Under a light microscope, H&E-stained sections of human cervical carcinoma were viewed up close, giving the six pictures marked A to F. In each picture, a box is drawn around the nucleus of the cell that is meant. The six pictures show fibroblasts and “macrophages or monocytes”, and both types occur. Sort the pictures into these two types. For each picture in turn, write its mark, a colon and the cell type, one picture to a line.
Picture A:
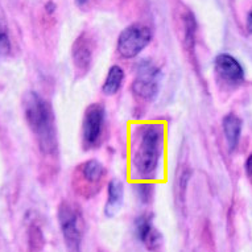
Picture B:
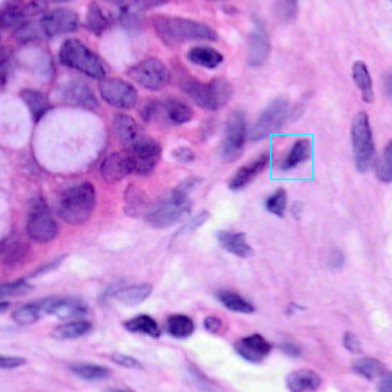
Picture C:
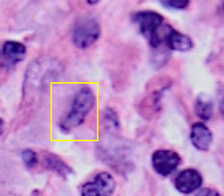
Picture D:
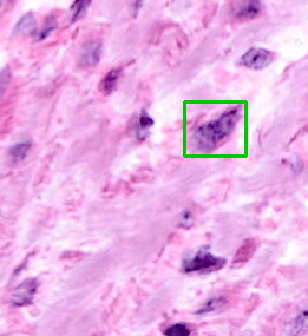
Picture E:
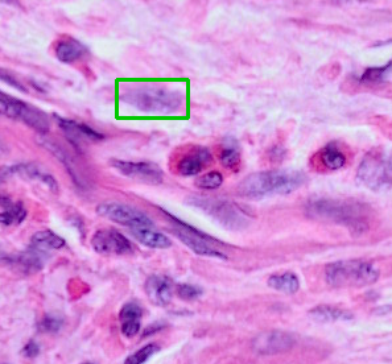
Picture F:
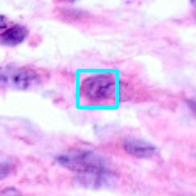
A: macrophage or monocyte
B: fibroblast
C: macrophage or monocyte
D: macrophage or monocyte
E: fibroblast
F: macrophage or monocyte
